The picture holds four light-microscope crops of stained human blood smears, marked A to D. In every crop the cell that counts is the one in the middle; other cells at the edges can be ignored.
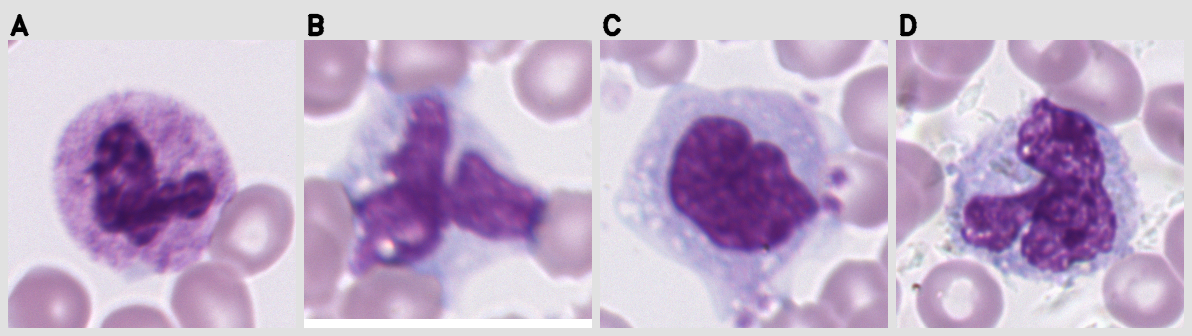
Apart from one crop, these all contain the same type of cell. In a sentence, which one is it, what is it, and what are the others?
What sets crop A apart is that it is a neutrophil; the others are all monocytes.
